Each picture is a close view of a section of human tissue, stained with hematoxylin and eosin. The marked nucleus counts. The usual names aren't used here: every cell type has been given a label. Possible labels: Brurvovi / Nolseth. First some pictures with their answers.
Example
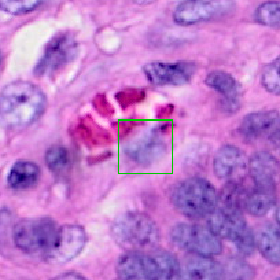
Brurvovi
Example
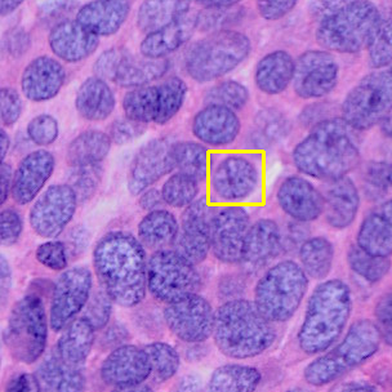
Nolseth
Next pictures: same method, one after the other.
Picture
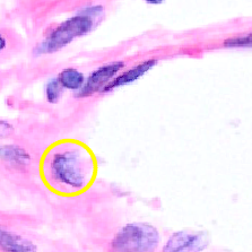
Brurvovi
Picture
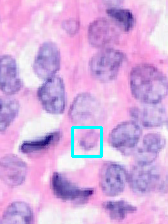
Nolseth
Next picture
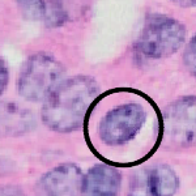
Nolseth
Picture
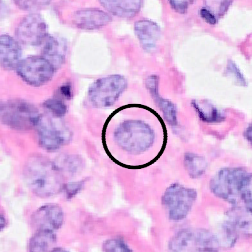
Nolseth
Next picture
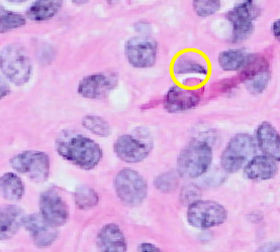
Brurvovi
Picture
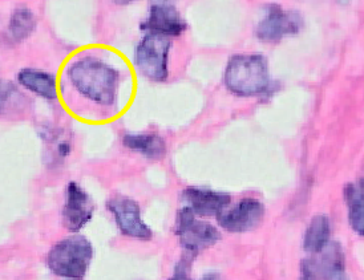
Nolseth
